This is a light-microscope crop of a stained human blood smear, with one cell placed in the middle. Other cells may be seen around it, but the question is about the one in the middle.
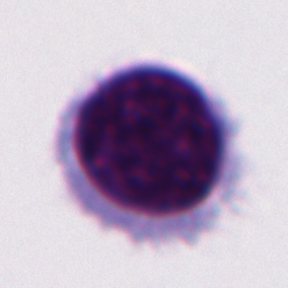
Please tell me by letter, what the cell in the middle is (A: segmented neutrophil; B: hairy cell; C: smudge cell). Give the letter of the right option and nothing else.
B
